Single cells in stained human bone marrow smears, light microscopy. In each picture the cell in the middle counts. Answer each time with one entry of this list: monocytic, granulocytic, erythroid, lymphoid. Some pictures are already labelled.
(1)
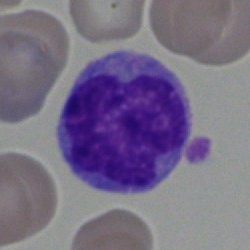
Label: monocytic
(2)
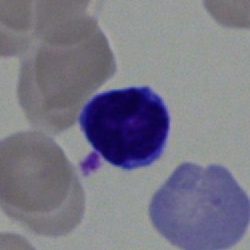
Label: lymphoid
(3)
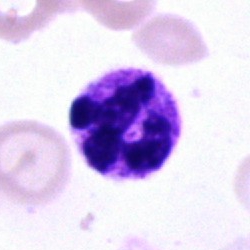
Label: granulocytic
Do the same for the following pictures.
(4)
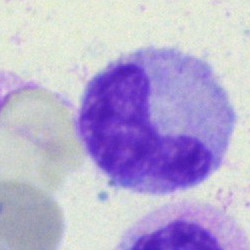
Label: monocytic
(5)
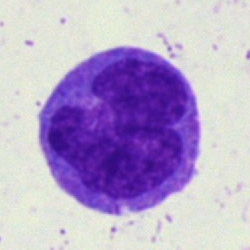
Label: monocytic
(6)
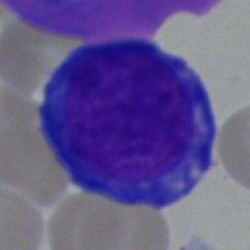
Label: erythroid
